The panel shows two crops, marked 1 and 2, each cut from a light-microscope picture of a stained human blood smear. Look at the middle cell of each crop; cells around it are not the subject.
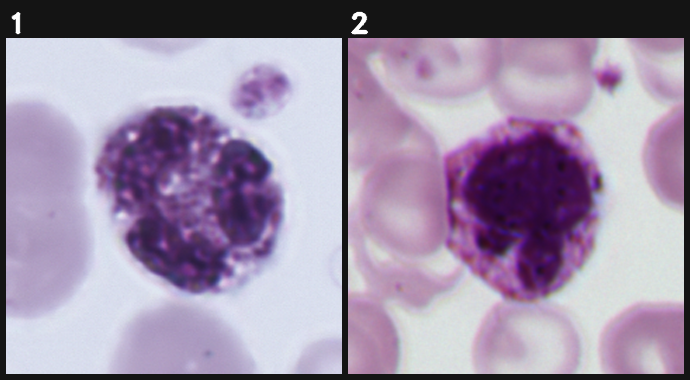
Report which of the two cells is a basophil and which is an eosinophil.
1: eosinophil
2: basophil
